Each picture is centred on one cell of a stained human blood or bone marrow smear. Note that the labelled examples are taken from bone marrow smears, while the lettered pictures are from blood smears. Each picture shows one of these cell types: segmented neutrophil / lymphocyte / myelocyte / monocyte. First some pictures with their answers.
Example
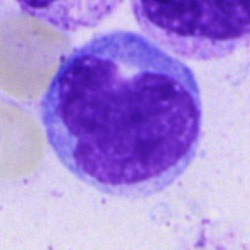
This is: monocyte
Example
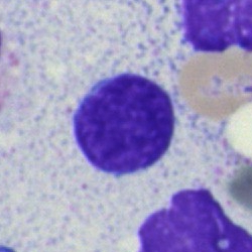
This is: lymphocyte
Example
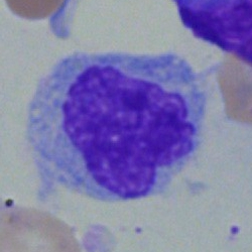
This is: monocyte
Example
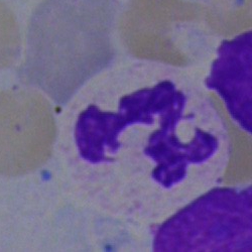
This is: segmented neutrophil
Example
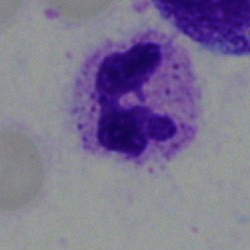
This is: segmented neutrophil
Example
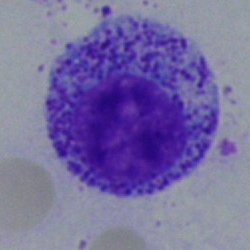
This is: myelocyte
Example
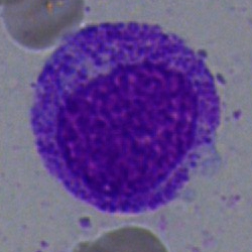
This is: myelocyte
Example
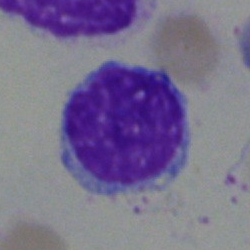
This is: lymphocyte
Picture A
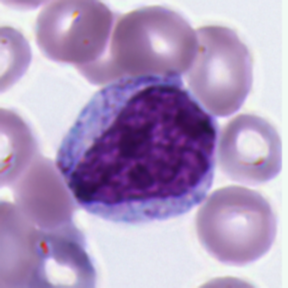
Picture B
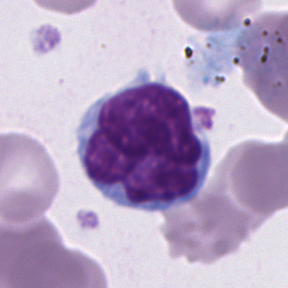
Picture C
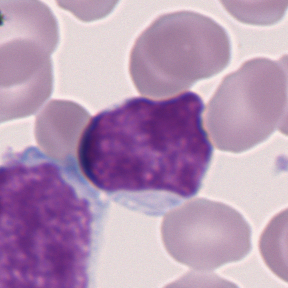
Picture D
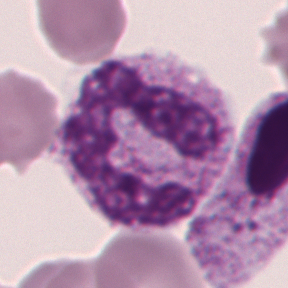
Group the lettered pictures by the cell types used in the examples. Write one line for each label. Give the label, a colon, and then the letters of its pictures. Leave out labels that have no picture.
segmented neutrophil: D
lymphocyte: B, C
myelocyte: A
